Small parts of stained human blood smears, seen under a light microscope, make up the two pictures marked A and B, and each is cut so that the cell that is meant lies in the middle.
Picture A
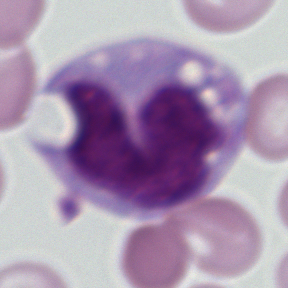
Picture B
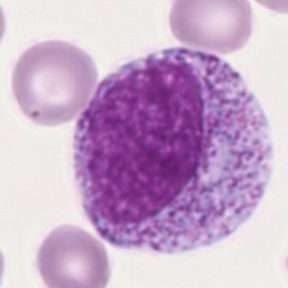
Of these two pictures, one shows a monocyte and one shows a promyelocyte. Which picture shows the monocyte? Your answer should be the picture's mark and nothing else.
A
